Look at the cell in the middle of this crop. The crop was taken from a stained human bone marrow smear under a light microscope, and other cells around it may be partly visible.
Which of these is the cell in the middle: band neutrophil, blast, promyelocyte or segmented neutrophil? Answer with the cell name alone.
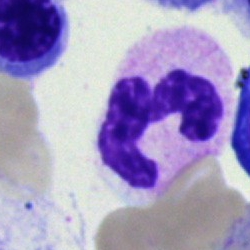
segmented neutrophil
